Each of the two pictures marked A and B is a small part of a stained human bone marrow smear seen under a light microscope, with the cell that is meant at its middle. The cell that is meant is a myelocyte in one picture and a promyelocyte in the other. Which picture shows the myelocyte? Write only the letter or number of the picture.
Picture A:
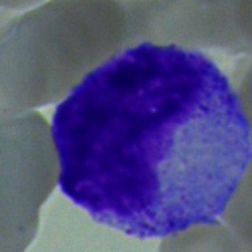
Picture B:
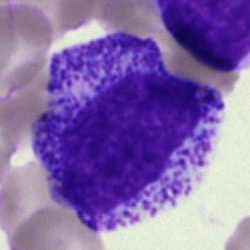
B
